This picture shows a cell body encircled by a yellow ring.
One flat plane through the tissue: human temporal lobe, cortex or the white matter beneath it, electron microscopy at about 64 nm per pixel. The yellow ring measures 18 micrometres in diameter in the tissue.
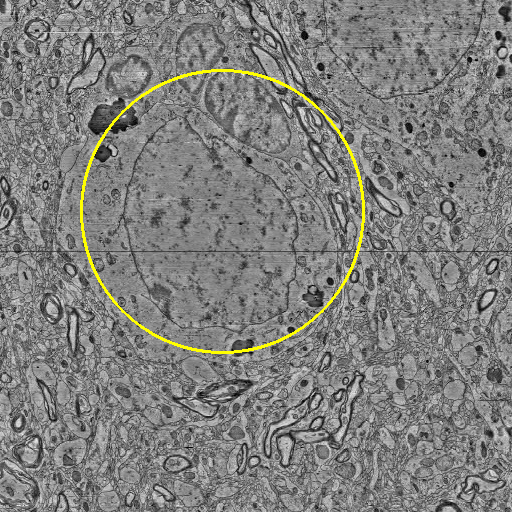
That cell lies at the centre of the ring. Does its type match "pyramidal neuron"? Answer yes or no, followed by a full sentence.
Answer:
Yes, in the picture, the ring surrounds a cell of that type at its centre.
